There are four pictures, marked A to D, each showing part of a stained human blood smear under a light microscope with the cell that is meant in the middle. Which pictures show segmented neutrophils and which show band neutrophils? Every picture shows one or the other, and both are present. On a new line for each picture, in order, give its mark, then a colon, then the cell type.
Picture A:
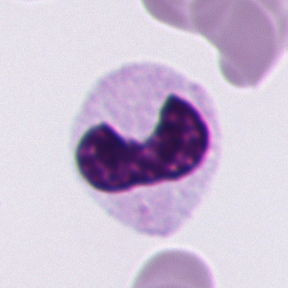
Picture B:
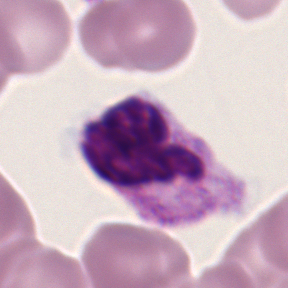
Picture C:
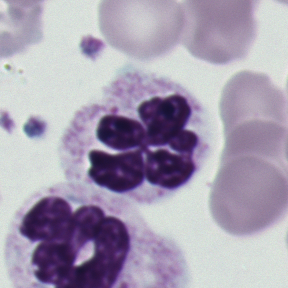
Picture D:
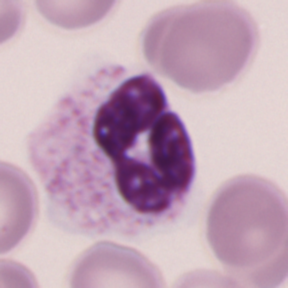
A: band neutrophil
B: segmented neutrophil
C: segmented neutrophil
D: segmented neutrophil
